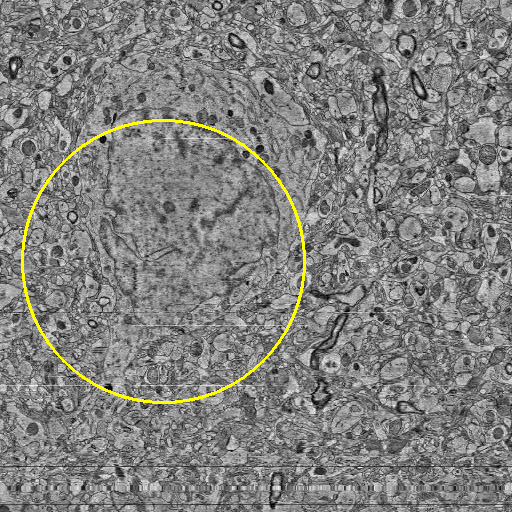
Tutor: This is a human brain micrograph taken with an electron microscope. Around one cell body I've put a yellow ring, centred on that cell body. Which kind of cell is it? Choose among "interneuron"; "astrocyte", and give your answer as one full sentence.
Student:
Going by your list, the cell centred in the yellow ring is an interneuron.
